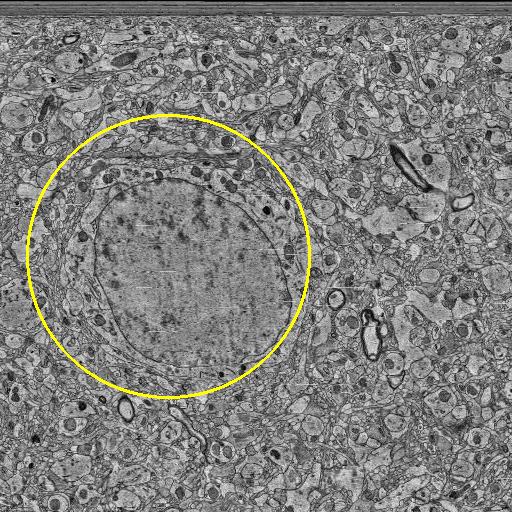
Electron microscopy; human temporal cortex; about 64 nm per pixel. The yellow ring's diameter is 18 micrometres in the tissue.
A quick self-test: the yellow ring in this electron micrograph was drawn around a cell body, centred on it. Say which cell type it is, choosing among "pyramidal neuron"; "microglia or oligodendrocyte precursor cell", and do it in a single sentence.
The yellow-ringed cell is a pyramidal neuron.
